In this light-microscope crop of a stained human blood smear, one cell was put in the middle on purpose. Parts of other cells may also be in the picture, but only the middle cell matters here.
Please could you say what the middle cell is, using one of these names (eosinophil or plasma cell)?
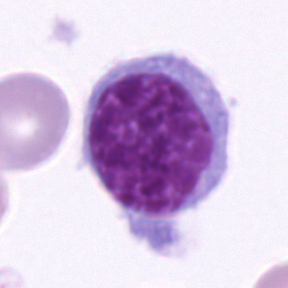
plasma cell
